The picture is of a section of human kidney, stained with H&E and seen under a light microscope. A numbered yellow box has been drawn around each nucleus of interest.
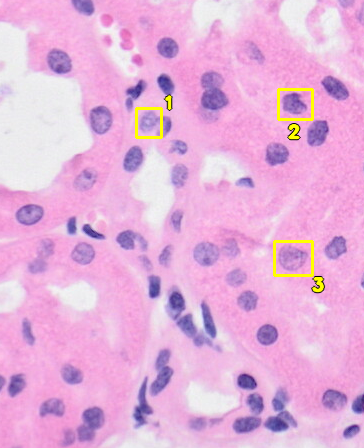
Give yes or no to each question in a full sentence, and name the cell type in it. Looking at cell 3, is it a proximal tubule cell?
Yes, the cell that has number 3 is a proximal tubule cell.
